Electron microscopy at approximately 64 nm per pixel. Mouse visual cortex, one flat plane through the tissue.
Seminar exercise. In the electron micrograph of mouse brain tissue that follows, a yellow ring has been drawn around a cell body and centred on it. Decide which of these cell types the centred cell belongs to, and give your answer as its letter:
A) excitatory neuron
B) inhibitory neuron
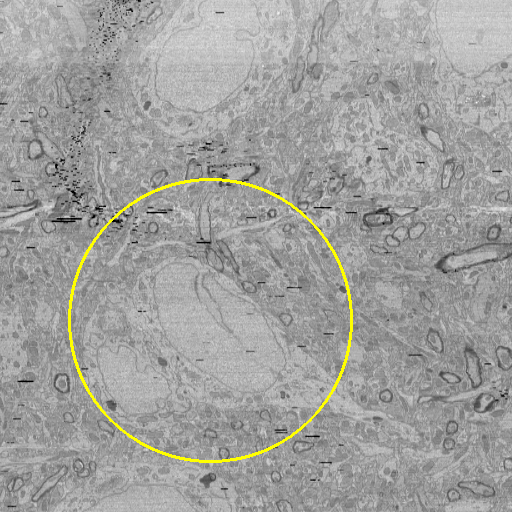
B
